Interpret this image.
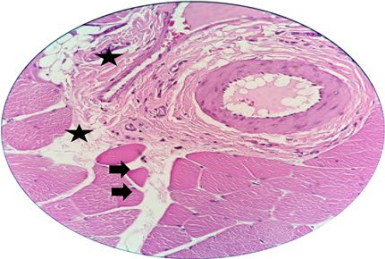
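Skeletal muscle in cross-section, with muscle fibres and an expanded fibrous connective tissue. Polygonal pink fibre profiles fill the lower part of the field, each bounded by thin pale endomysium. A few small, rounded, intensely pink fibres lie isolated within this fibrous tissue, much smaller than the neighbouring fibres. Some clear spaces and loosened tissue appear at the upper left.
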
